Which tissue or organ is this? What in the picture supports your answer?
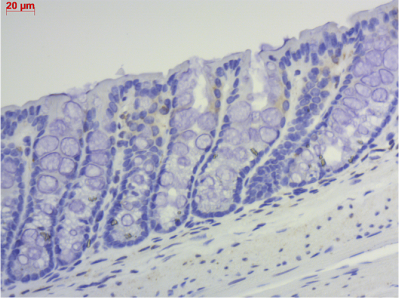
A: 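The crypts are lined by columnar cells with many pale, rounded goblet cells. A thin layer of connective tissue and smooth muscle lies beneath the crypt bases. That points to this answer: colon epithelium.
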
